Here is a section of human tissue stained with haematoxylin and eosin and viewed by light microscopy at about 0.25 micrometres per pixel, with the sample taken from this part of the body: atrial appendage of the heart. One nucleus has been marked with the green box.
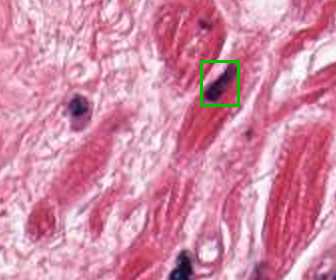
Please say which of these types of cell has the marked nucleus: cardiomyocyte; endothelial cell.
cardiomyocyte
